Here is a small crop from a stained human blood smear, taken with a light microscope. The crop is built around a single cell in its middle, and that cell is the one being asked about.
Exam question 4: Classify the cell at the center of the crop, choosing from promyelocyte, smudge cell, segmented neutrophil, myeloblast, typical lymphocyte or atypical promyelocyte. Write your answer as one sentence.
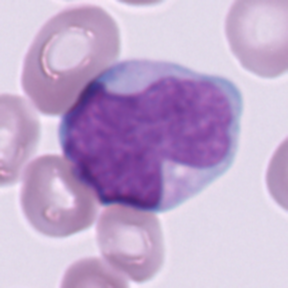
In this crop, the cell at the very middle is an atypical promyelocyte.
